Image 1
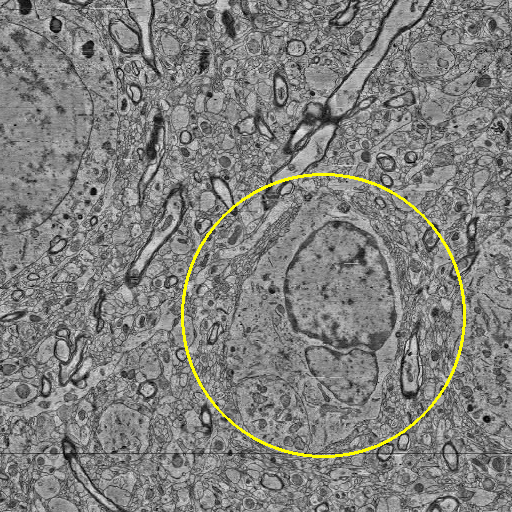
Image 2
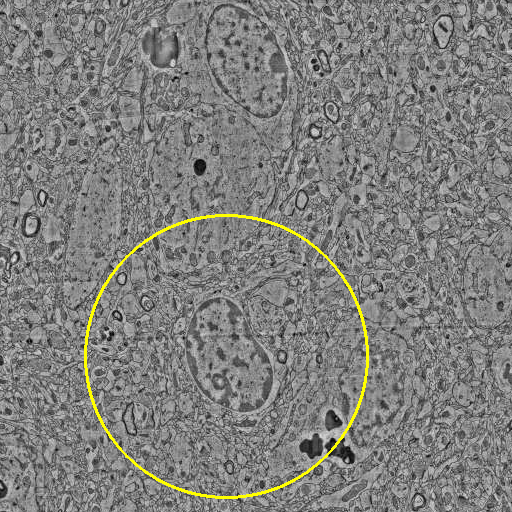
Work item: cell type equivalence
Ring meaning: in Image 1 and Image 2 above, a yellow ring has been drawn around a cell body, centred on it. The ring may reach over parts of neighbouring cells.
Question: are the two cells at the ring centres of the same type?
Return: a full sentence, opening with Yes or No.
Yes, the two centred cells are of the same type.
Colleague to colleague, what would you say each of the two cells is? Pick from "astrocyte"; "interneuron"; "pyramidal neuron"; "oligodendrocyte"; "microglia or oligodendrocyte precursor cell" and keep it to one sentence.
Both rings mark a microglial cell or oligodendrocyte precursor cell, one in each picture.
